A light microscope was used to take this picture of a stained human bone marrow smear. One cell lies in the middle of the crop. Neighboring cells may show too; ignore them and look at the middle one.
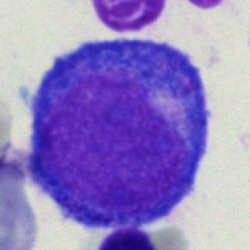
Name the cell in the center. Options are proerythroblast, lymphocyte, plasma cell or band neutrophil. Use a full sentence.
Present in the middle of the crop is a proerythroblast.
